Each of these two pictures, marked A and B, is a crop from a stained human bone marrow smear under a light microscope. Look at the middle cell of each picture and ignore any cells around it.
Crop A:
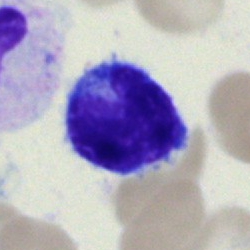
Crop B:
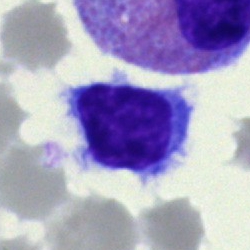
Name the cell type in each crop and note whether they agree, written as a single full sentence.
Yes, both crops show lymphocytes in the centre of the field.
